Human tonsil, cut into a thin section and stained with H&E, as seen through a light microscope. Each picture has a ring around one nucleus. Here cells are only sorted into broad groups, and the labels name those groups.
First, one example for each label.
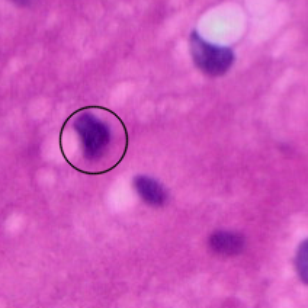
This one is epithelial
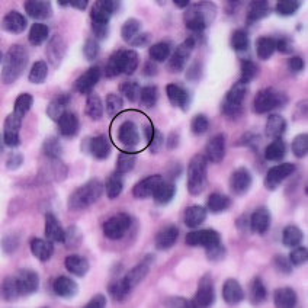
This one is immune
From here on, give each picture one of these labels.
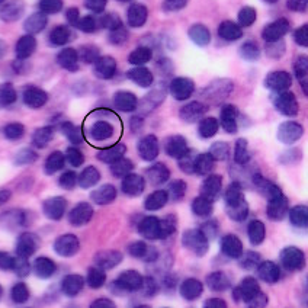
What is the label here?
immune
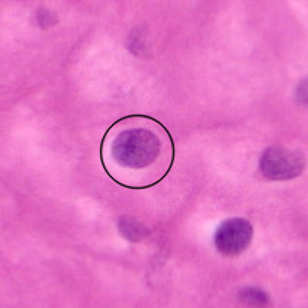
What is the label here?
epithelial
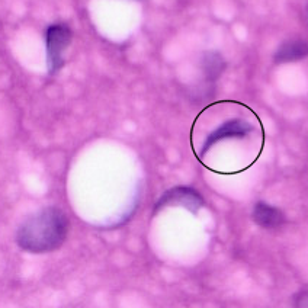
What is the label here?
epithelial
